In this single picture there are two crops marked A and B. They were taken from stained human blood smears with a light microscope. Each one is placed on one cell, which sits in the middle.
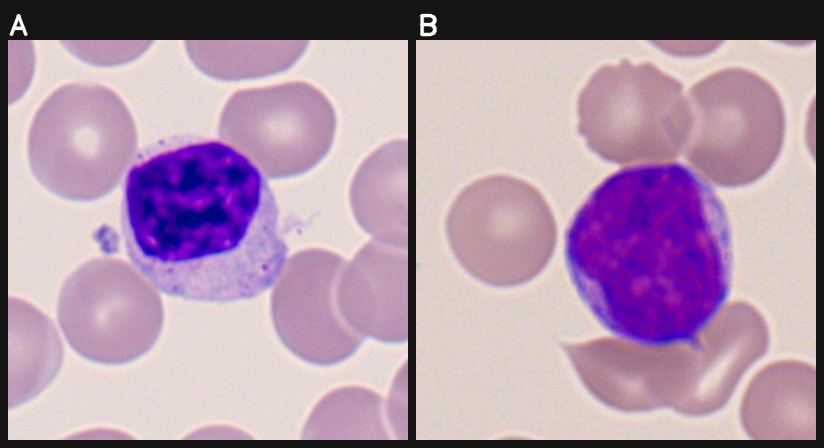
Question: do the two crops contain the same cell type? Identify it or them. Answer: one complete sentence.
No, a lymphocyte is shown in crop A and a blast in crop B.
